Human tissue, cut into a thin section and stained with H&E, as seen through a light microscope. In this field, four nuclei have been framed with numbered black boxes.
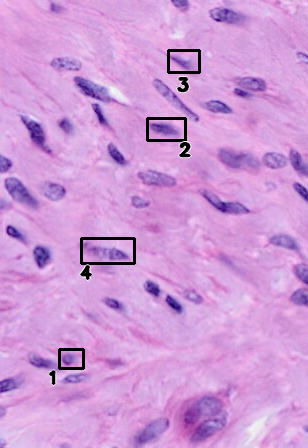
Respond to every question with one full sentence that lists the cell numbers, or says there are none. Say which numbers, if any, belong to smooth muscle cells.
The cell labelled 1 is a smooth muscle cell, while the remaining numbered cells are not.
